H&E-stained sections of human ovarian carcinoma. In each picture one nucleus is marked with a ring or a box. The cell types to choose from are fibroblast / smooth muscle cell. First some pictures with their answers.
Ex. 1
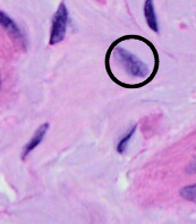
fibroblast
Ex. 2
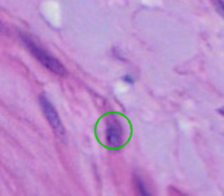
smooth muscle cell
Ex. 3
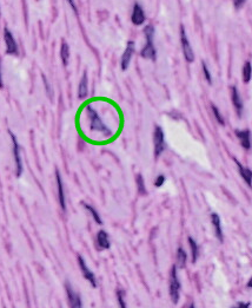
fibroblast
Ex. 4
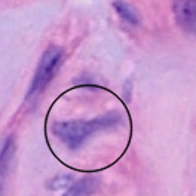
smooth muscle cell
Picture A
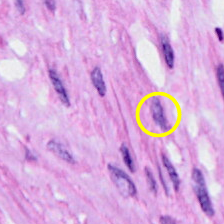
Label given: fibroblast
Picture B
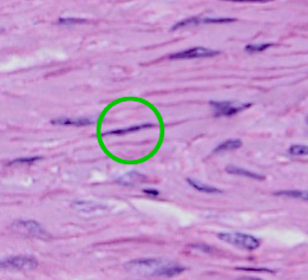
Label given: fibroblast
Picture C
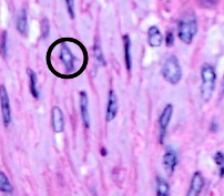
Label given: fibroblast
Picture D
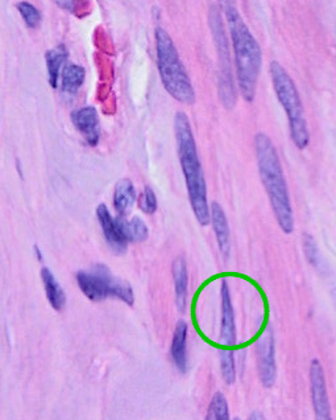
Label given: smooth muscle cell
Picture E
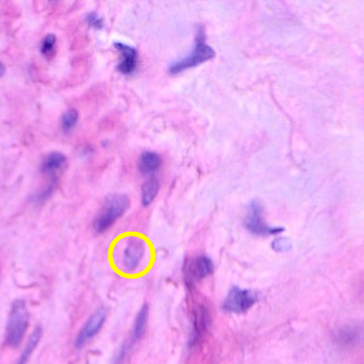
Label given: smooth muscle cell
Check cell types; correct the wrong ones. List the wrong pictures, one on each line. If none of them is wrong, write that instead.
Nothing to fix; every label fits.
